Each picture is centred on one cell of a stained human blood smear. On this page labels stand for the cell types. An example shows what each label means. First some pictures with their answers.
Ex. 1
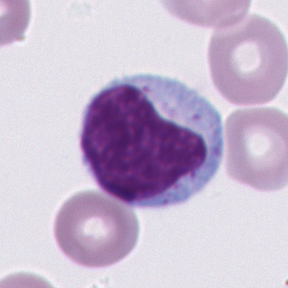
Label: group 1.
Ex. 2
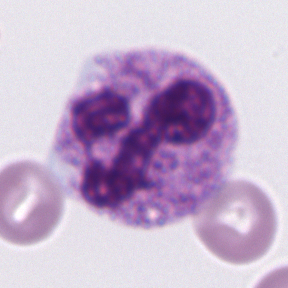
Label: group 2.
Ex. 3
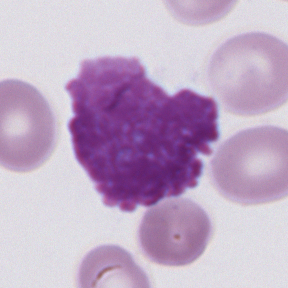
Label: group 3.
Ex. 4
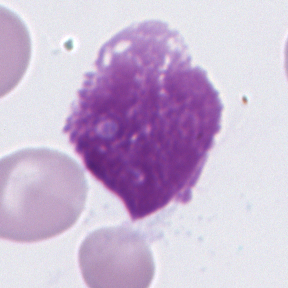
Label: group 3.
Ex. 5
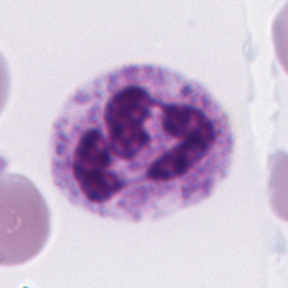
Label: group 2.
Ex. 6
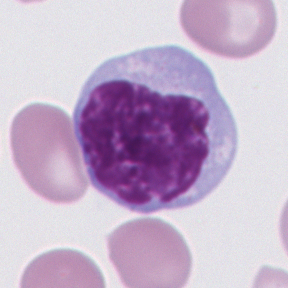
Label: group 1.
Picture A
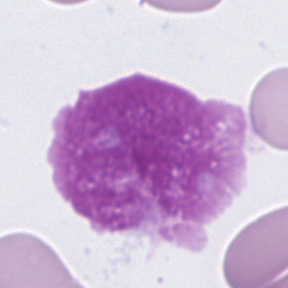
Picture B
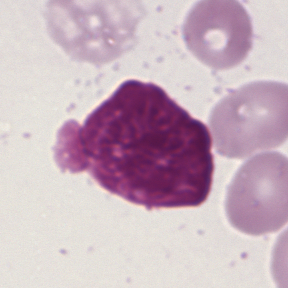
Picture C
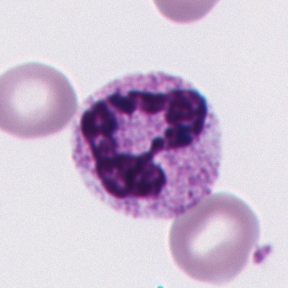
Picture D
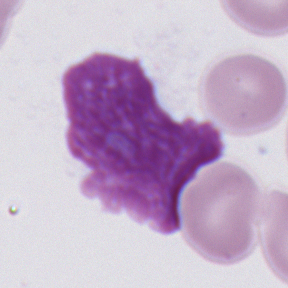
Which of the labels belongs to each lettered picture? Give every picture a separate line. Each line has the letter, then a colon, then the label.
A: group 3.
B: group 3.
C: group 2.
D: group 3.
